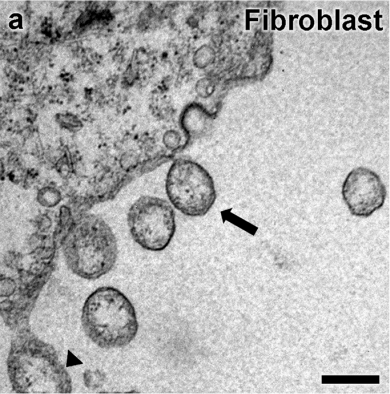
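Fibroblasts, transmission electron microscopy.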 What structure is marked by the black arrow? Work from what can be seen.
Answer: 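Round profiles bounded by a dark membrane lie in the space outside the cell. They sit next to the cell surface and are separate from it.
Vesicular structures.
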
